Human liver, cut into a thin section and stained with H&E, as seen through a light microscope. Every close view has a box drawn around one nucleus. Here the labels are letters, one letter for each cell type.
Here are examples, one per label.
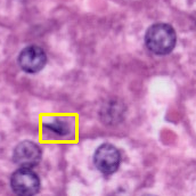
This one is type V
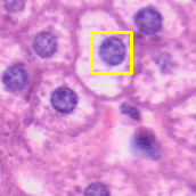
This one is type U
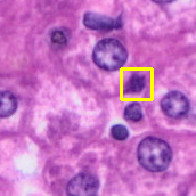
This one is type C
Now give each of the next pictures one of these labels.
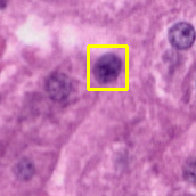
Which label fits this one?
type V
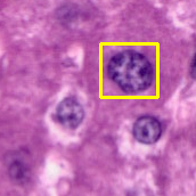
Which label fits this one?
type U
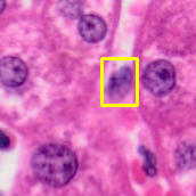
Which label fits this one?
type V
